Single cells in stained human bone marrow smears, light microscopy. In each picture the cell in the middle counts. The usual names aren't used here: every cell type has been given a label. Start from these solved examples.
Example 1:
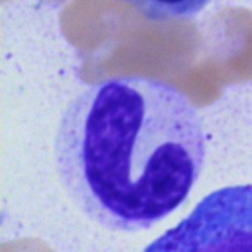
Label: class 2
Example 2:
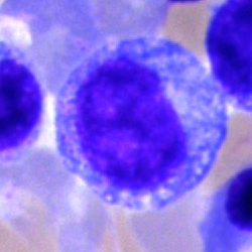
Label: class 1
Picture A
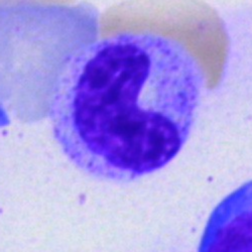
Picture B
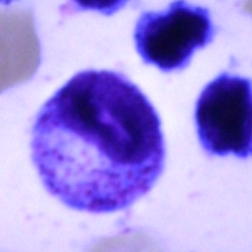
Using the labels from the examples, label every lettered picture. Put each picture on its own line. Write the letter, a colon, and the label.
A: class 2
B: class 1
